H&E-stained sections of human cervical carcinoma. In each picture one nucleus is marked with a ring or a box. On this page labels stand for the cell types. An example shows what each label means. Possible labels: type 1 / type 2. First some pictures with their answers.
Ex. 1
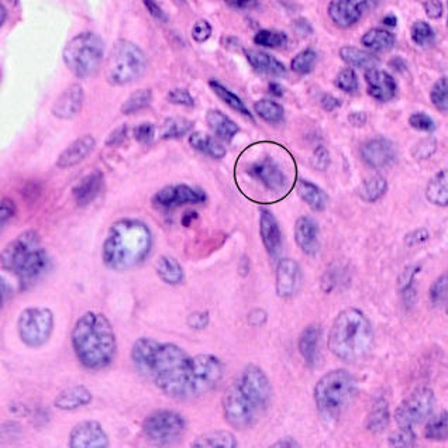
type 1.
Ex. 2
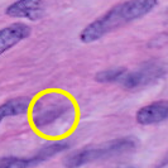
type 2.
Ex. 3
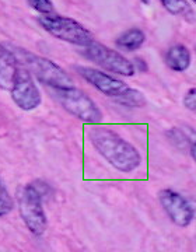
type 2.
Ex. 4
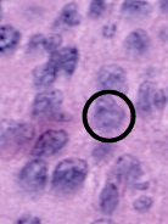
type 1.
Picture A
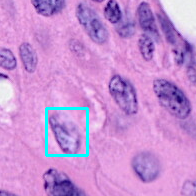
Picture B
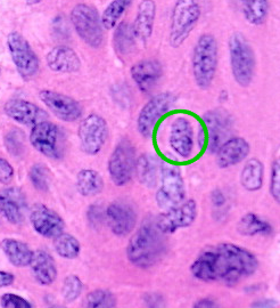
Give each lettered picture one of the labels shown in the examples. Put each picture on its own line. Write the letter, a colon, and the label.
A: type 1.
B: type 1.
